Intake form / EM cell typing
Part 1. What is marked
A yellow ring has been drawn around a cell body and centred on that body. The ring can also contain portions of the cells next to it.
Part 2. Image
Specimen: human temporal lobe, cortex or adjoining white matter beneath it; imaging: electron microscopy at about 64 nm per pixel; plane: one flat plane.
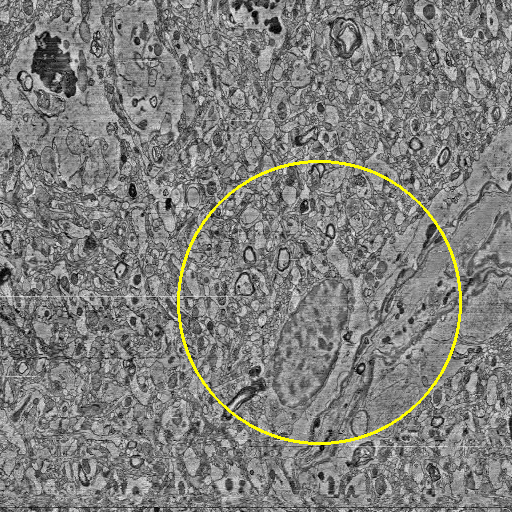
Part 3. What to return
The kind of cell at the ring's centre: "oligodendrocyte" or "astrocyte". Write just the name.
oligodendrocyte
